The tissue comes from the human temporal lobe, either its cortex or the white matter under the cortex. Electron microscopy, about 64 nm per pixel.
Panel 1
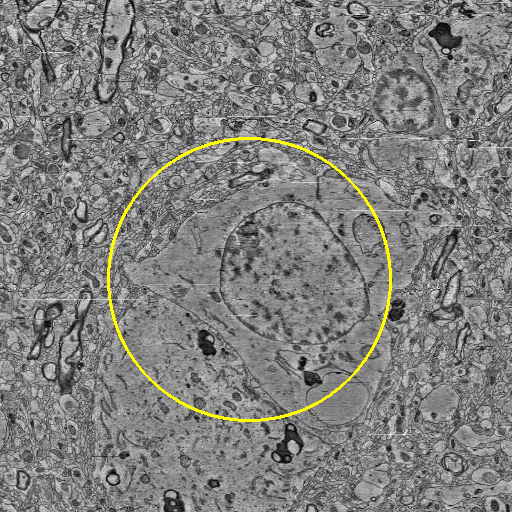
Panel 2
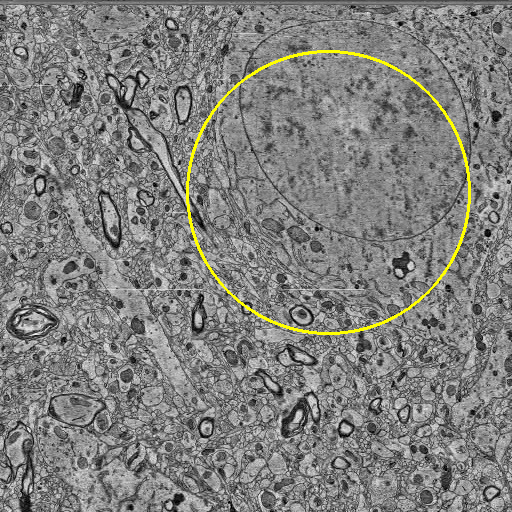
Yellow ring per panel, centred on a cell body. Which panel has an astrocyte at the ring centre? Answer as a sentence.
Panel 1 shows it at the ring centre.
